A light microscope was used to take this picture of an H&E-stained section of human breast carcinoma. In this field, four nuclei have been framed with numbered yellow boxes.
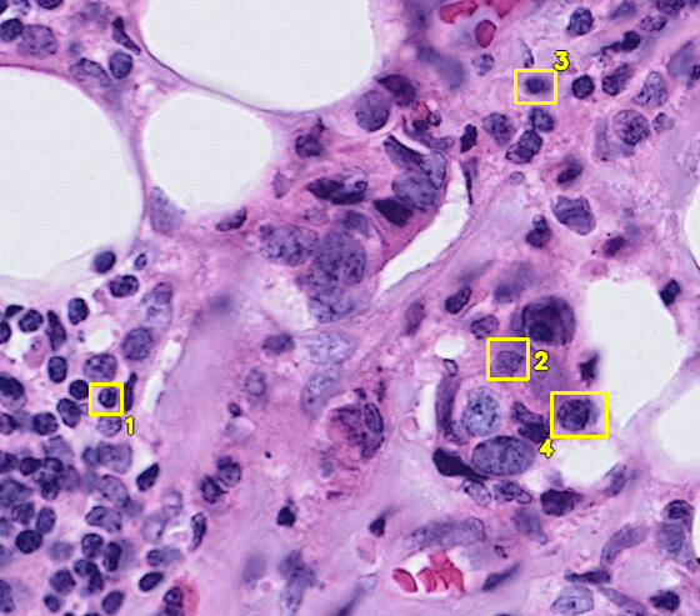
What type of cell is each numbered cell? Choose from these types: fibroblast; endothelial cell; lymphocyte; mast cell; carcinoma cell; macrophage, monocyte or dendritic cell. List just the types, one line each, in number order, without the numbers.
lymphocyte
carcinoma cell
lymphocyte
carcinoma cell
